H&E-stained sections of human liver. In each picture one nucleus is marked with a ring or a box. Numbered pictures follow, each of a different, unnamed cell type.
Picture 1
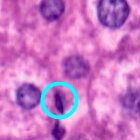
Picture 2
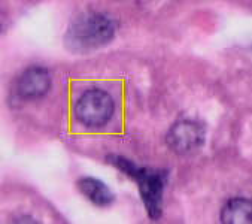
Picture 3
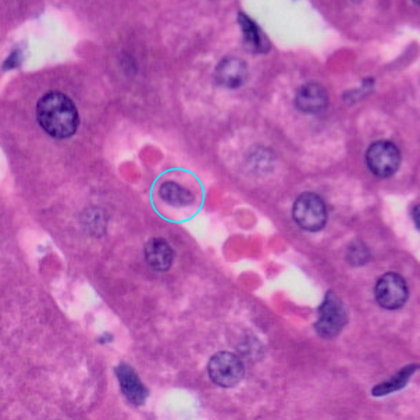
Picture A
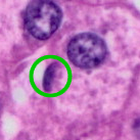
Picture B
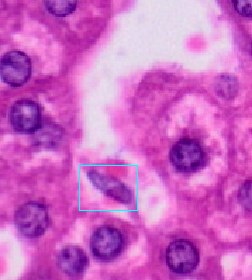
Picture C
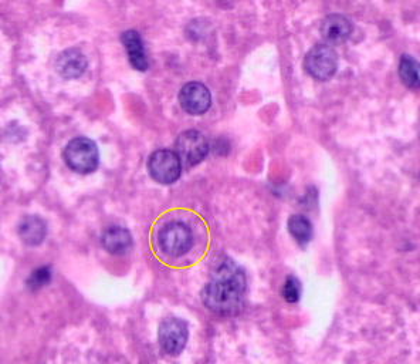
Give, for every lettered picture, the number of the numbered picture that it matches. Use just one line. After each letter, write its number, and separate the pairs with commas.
A 1, B 3, C 2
